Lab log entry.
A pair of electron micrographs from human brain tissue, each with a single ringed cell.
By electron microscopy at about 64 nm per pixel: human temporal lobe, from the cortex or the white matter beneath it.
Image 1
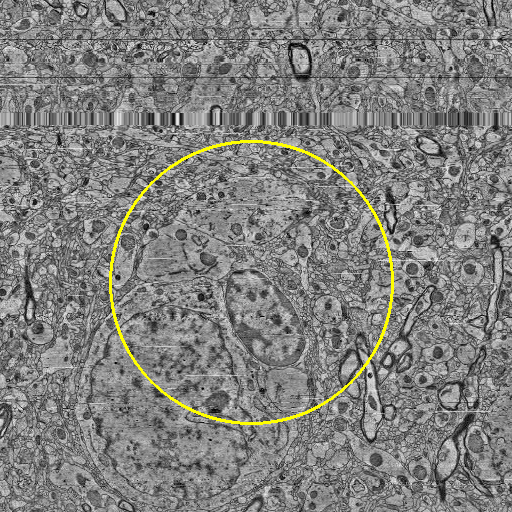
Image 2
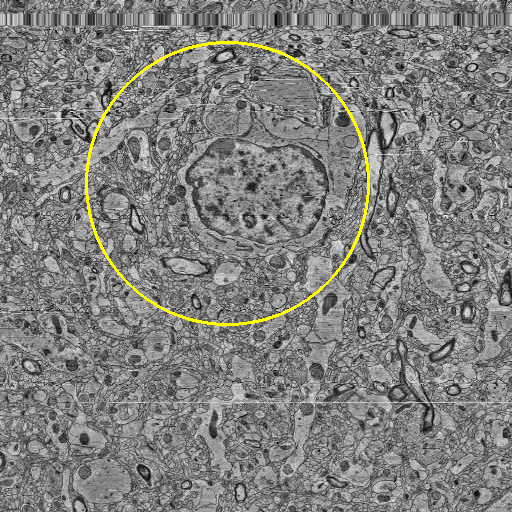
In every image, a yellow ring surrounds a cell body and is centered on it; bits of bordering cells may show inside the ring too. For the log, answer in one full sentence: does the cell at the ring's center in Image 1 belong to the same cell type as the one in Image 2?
Yes, the cells at the ring centers in Image 1 and Image 2 share one type.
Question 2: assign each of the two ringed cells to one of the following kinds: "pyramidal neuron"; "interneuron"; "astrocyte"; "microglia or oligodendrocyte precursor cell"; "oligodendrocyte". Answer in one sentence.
The first and the second cell are each a microglial cell or oligodendrocyte precursor cell.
